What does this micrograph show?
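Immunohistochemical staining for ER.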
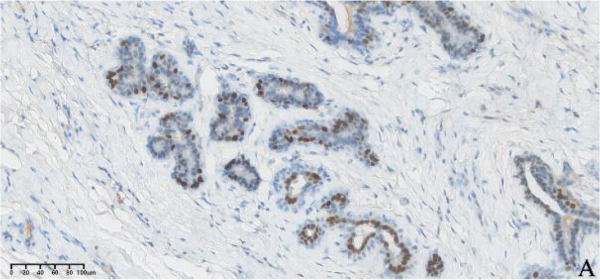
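Small glands and tubules of glandular epithelium are set in a pale fibrous stroma with scattered spindle-shaped cells. Many of the cells lining the glands have round nuclei stained brown, while others have blue nuclei. The stroma around the glands is unstained and blue.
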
